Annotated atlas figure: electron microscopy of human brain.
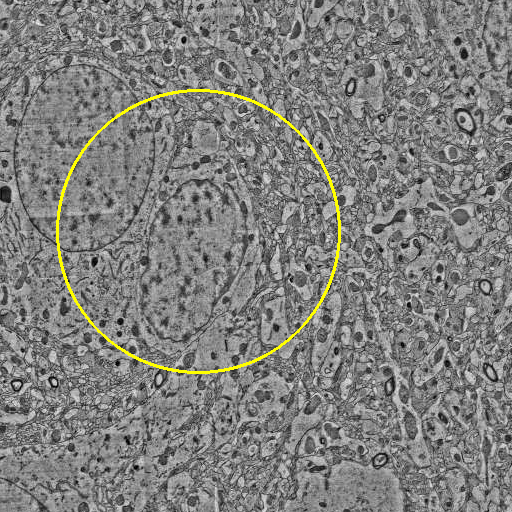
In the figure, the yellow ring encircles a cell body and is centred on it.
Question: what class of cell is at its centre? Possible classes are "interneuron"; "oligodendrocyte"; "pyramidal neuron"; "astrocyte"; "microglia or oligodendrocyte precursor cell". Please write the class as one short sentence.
The yellow ring is drawn around an interneuron.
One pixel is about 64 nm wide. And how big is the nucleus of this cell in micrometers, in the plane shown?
Clearly longer than it is wide in this plane, the nucleus measures roughly 11 by 6 micrometres.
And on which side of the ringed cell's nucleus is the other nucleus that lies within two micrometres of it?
The second nucleus lies to the upper left of it.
